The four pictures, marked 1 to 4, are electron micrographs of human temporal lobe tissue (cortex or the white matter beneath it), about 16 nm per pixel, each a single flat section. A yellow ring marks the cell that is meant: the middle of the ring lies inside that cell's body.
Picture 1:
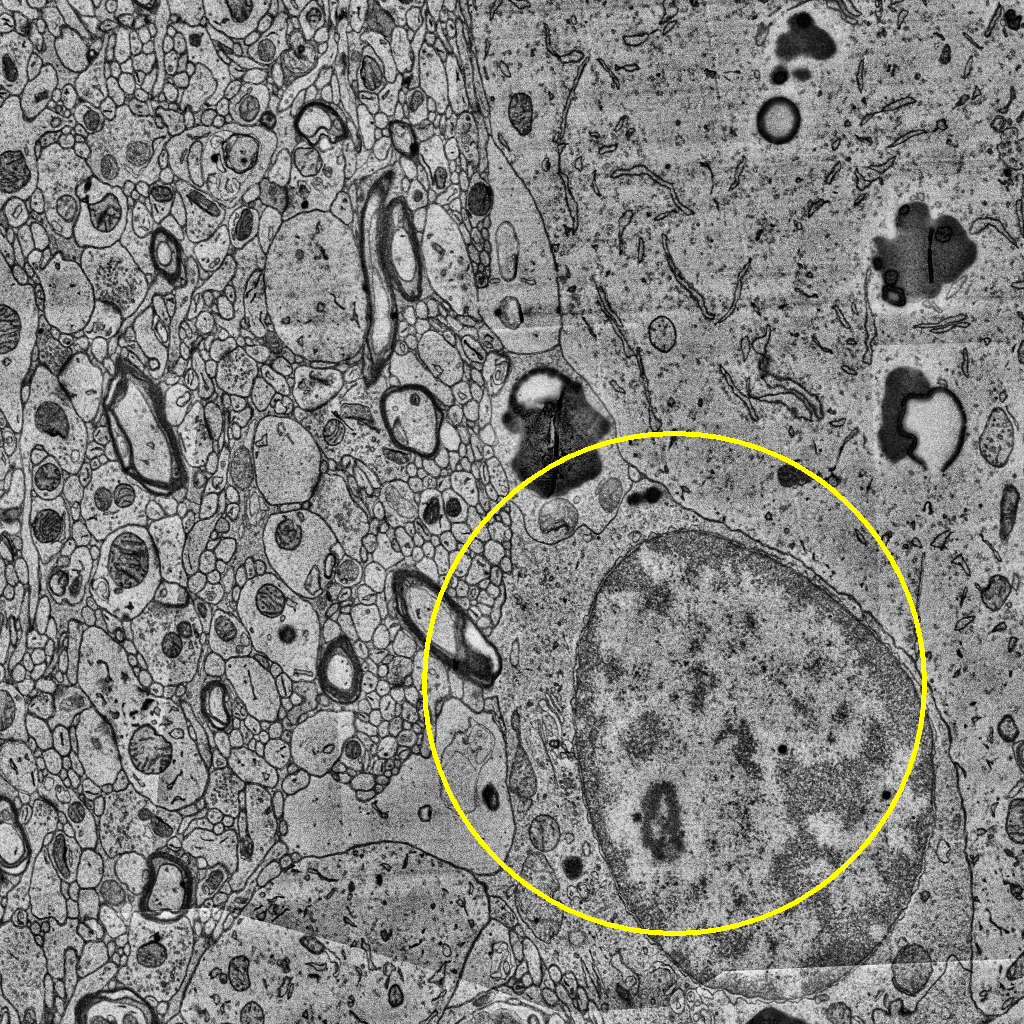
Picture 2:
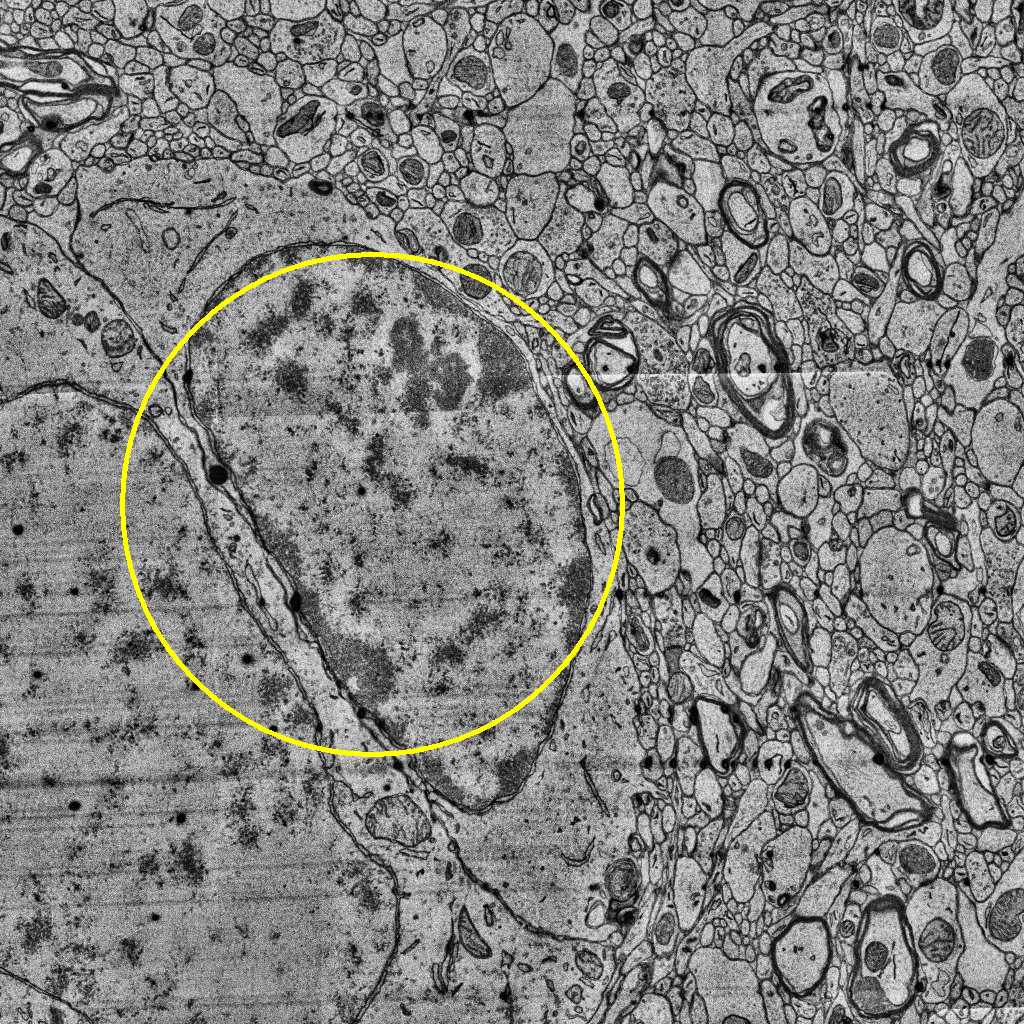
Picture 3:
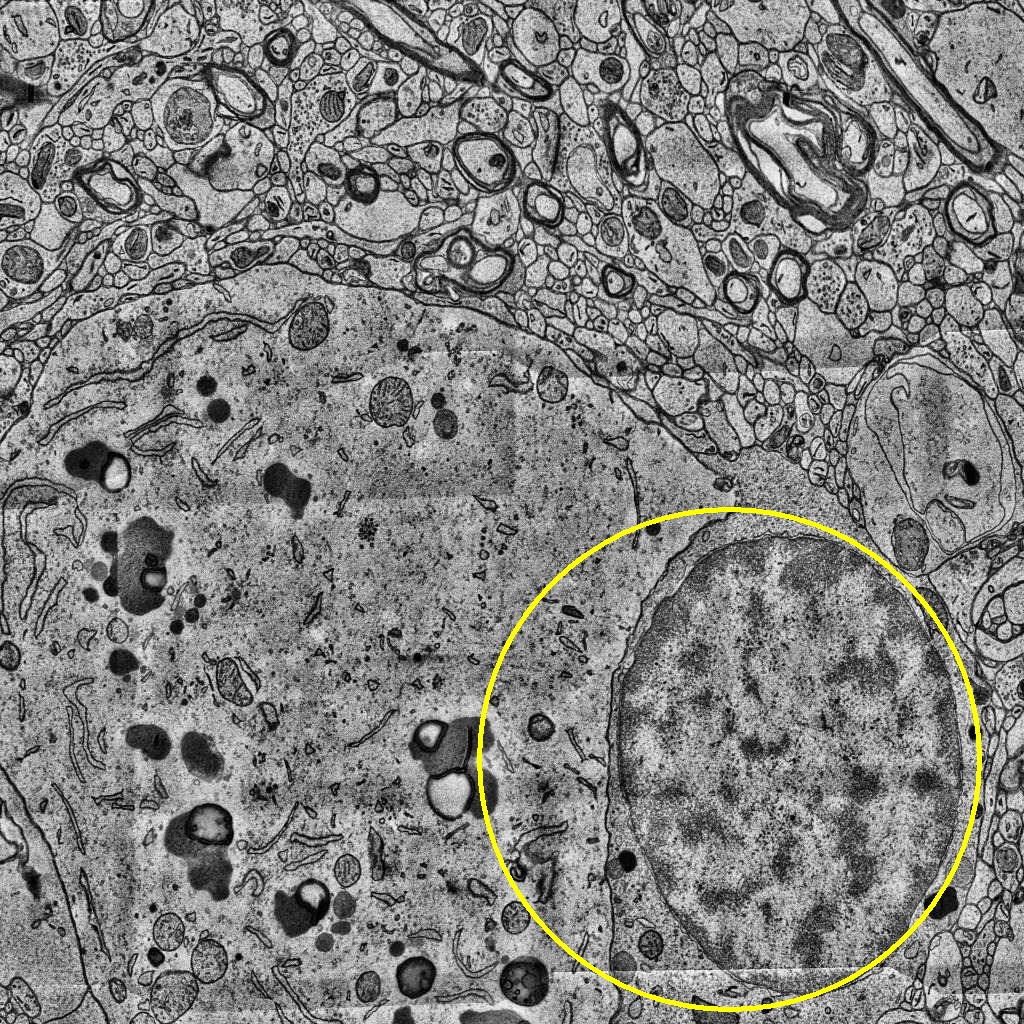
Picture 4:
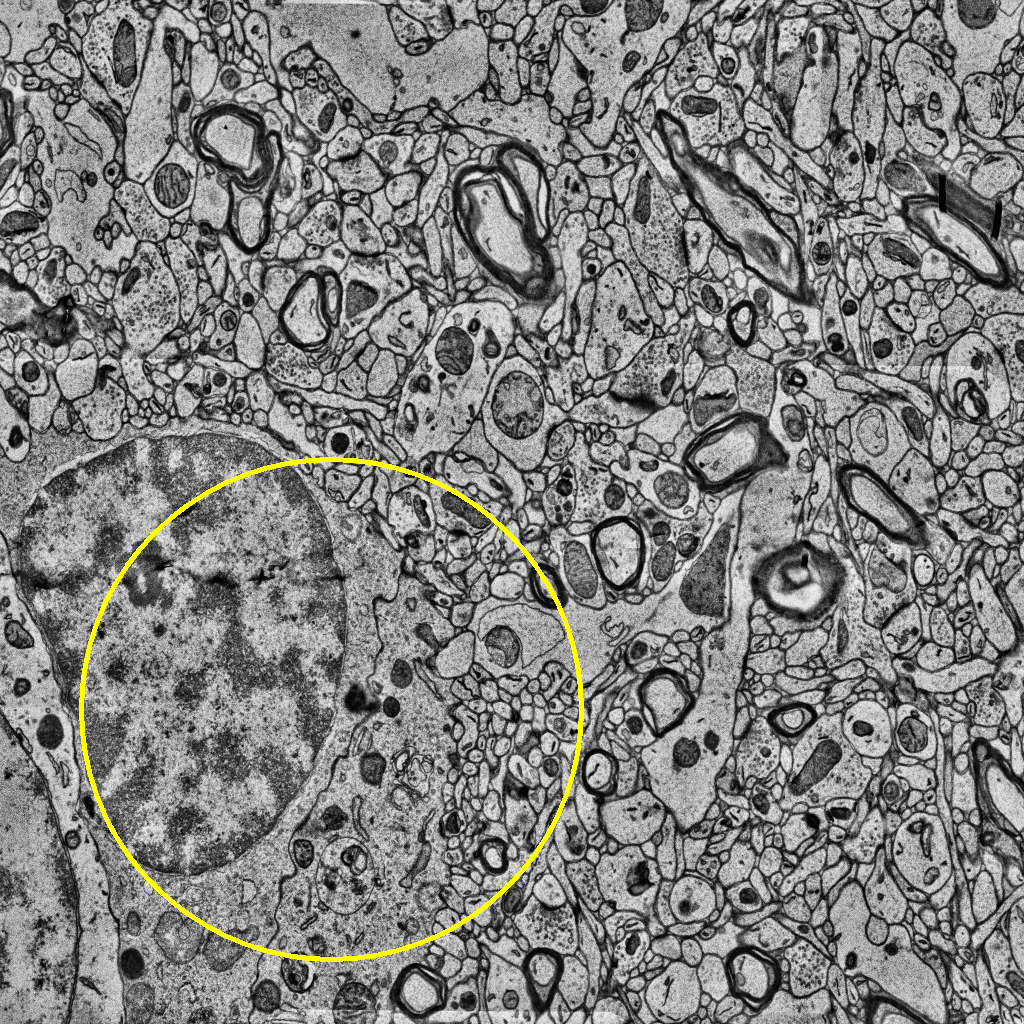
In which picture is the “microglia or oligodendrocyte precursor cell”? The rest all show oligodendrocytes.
The picture with the “microglia or oligodendrocyte precursor cell” is 2.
